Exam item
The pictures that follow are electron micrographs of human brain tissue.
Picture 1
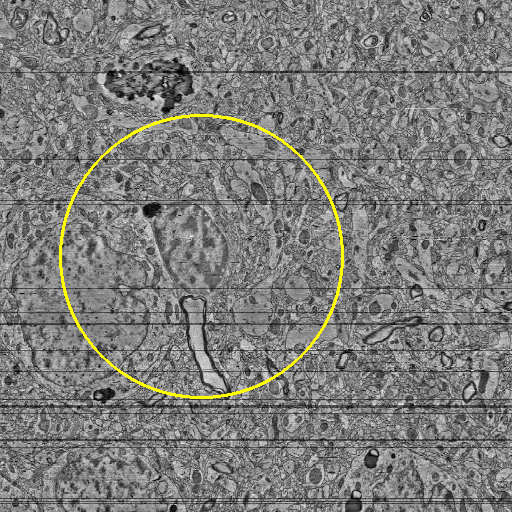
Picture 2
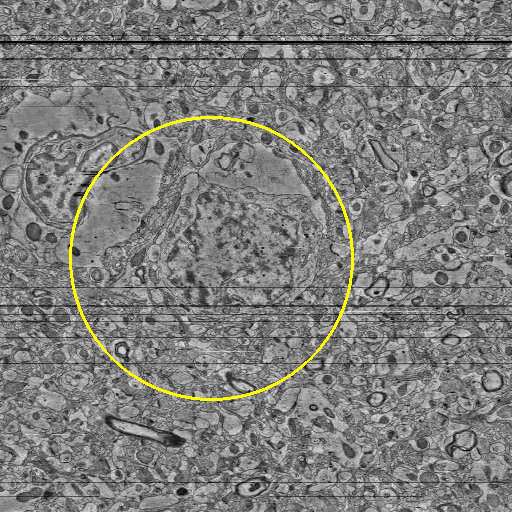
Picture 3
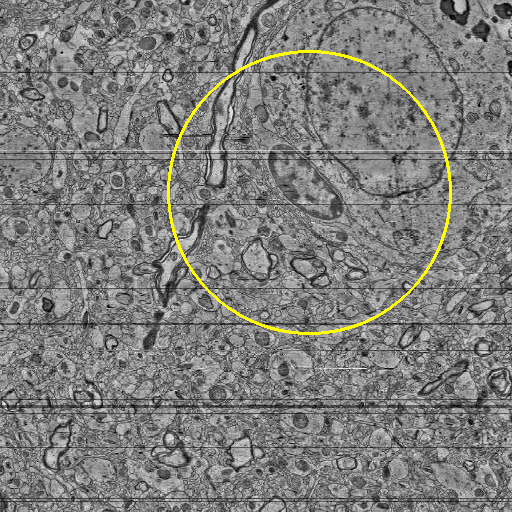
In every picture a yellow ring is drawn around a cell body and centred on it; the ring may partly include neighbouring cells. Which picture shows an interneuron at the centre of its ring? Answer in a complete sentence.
The cell at the centre of the ring in Picture 2 is the one asked for.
